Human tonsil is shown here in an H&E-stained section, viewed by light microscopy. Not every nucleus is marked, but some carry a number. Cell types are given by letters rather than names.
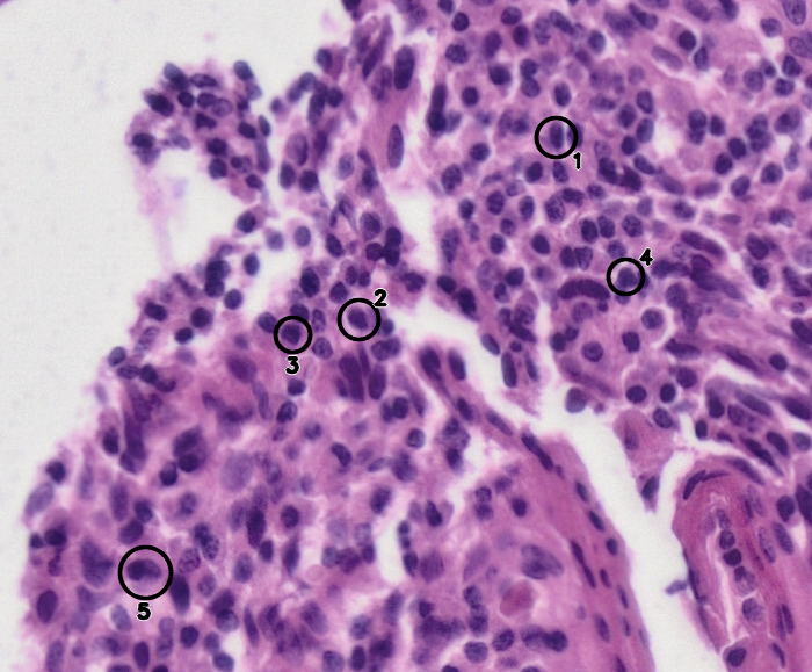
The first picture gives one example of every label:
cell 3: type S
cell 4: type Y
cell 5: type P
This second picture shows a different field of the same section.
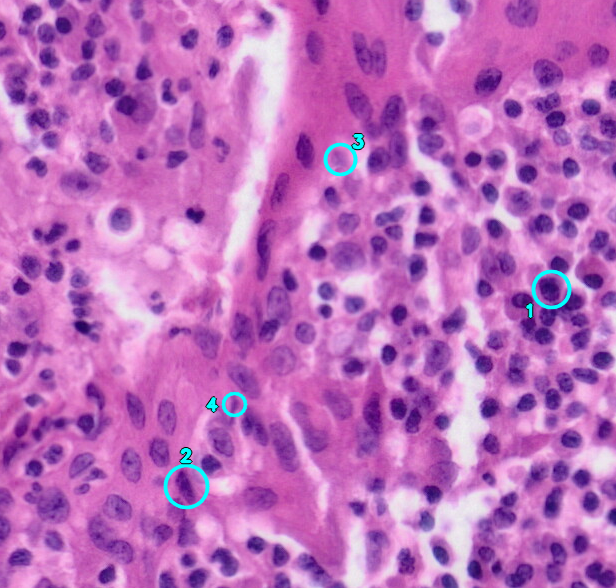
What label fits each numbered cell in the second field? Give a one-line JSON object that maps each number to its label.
{"1": "type S", "2": "type P", "3": "type P", "4": "type P"}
